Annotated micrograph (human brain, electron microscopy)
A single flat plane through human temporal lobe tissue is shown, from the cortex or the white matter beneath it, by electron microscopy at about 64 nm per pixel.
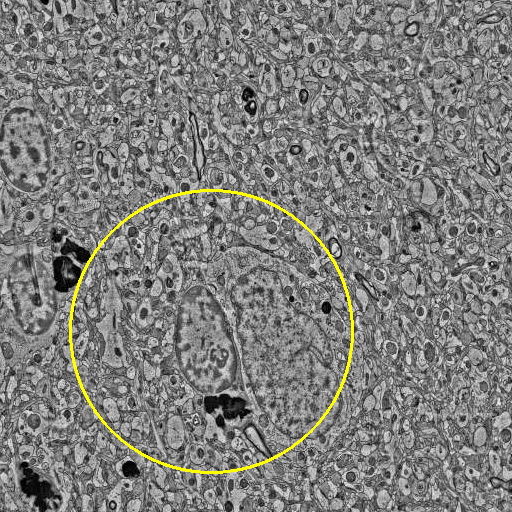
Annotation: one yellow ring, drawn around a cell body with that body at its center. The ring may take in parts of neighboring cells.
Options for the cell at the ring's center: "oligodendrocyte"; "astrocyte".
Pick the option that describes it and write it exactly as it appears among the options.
oligodendrocyte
